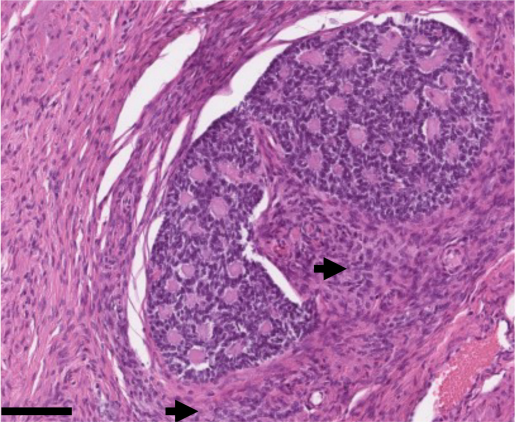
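A large rounded nest of closely packed cells with dark purple nuclei lies in pink, spindle-cell stroma, with a cleft partly splitting it. Inside the nest, the cells arrange themselves in small rings, annular tubules, each around a central blob of homogeneous pink, hyaline material, giving a sieve-like look. The surrounding stroma is made of elongated spindle cells with slender nuclei, running in streams that wrap around the nest. Here and there in the stroma lie cells with more pink cytoplasm. White clefts separate the nest from the stroma on its left side, and a small blood vessel with red cells appears at the lower right.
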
